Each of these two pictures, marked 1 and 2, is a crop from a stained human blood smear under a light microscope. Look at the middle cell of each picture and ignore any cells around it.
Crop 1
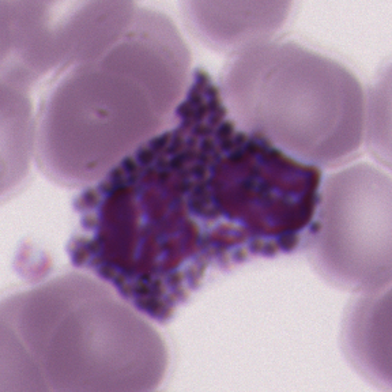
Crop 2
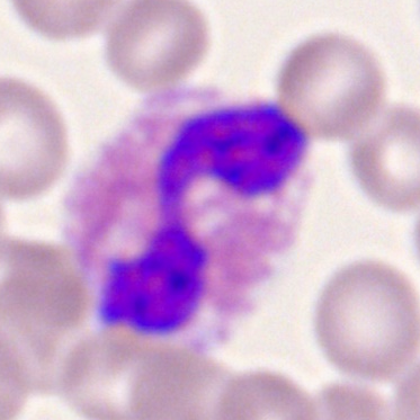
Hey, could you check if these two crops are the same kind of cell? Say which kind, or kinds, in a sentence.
Yes, they do, both crops show eosinophils.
